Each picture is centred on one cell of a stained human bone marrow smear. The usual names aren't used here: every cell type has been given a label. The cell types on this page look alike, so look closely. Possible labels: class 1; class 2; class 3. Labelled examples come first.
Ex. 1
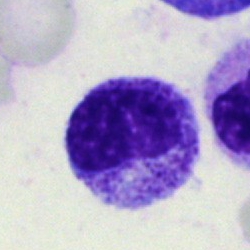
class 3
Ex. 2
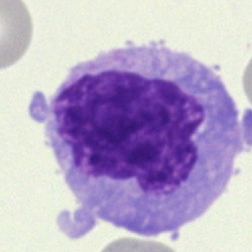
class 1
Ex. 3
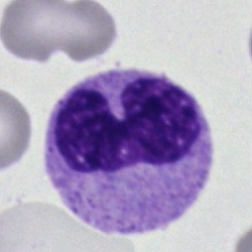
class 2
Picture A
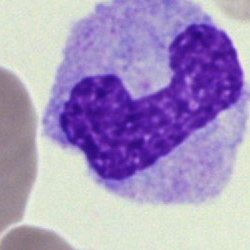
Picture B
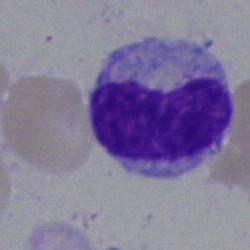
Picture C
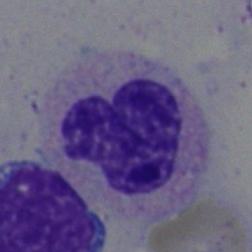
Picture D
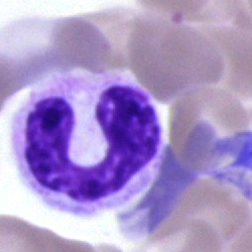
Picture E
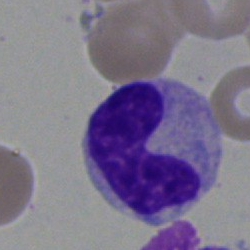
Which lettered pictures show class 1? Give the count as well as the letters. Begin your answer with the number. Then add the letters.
0, none of them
